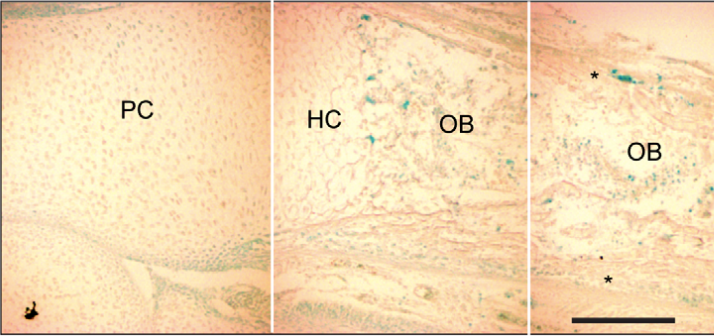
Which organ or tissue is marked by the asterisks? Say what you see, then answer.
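The asterisks sit on thin bands of tissue along the upper and lower edges of the rightmost picture. These bands are made of flattened, elongated cells lying parallel to the bone surface. The bands border the loose, blue-dotted central region. That points to this answer: Periosteum.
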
